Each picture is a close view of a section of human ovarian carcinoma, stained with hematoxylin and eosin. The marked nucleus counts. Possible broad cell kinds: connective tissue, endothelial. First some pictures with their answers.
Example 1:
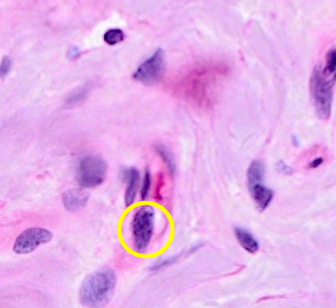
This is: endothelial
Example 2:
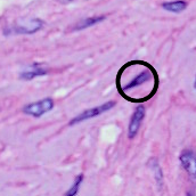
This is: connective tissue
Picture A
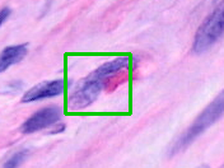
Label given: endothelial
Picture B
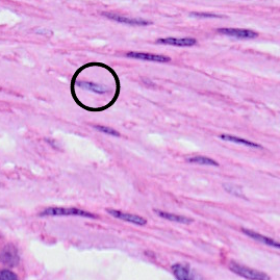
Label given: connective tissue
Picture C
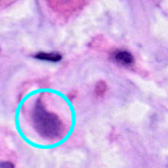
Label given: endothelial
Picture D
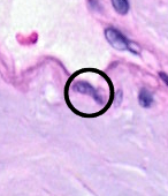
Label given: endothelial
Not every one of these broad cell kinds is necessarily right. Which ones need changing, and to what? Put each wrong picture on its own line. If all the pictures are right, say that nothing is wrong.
All correct.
